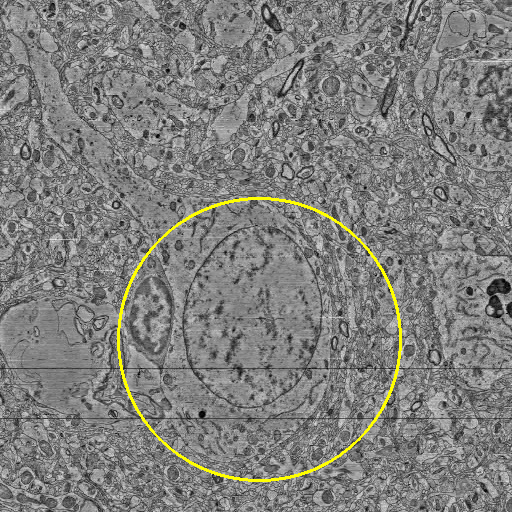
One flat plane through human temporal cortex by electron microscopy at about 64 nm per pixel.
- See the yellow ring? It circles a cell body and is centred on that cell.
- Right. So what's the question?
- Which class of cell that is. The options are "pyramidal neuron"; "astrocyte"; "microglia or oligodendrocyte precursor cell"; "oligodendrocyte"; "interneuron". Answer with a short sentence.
The centre of the ring holds a pyramidal neuron.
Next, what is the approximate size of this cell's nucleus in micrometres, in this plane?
The nucleus measures about 12 by 9 micrometres in this plane.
